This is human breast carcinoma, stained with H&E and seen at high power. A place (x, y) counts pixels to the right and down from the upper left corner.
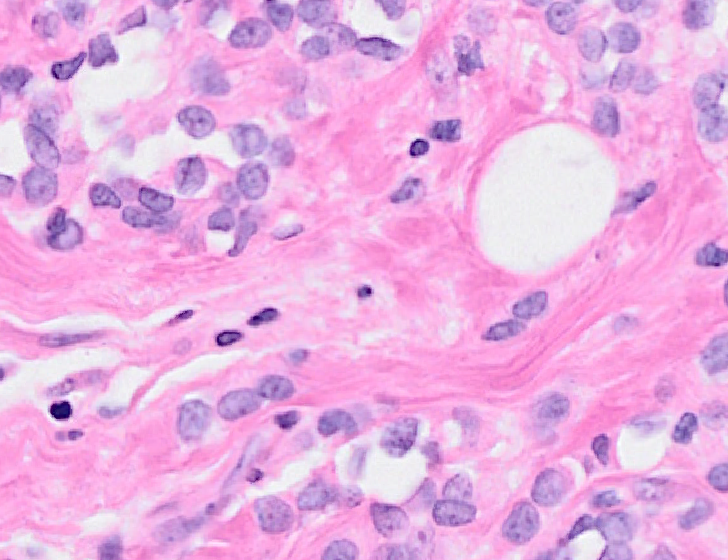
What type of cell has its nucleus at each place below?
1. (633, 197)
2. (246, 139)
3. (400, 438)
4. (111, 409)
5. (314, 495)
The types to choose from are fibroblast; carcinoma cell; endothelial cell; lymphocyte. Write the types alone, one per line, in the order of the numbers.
fibroblast
carcinoma cell
carcinoma cell
endothelial cell
carcinoma cell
